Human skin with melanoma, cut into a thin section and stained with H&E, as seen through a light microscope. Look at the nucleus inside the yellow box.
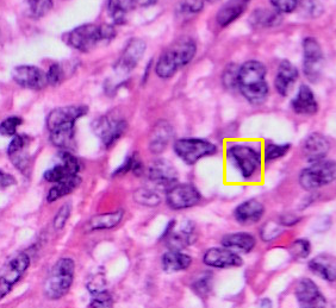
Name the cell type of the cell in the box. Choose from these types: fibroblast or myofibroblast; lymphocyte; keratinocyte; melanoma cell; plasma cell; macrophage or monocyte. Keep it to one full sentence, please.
As to its cell type, the cell in the box is a melanoma cell.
